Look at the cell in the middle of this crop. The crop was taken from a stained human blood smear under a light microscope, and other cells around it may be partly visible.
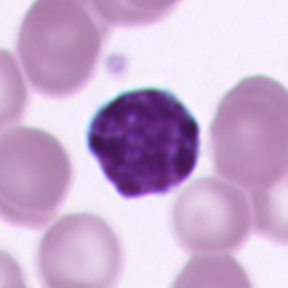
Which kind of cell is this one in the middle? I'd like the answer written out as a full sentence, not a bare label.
The cell positioned in the middle of the field is a typical lymphocyte.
